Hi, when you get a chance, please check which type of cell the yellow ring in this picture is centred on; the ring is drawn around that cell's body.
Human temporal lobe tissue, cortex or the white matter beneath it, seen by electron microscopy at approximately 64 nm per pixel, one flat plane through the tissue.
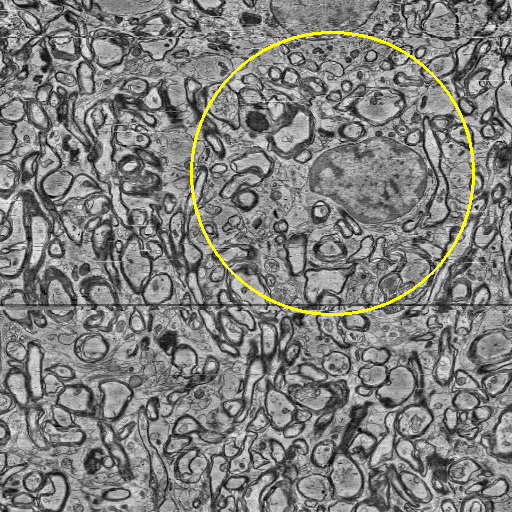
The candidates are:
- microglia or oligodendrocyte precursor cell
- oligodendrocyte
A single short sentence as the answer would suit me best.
The ring is drawn around the body of a microglial cell or oligodendrocyte precursor cell.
